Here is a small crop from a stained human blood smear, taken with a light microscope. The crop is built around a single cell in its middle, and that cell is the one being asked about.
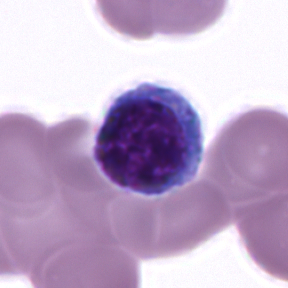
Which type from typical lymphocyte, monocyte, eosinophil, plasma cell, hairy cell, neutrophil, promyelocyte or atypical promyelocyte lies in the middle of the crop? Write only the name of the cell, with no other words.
plasma cell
